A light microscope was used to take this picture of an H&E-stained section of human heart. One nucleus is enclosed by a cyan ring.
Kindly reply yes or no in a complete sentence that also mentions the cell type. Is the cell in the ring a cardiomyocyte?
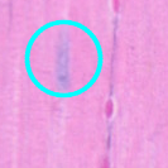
Yes, the cell in the ring is a cardiomyocyte; nothing to add.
